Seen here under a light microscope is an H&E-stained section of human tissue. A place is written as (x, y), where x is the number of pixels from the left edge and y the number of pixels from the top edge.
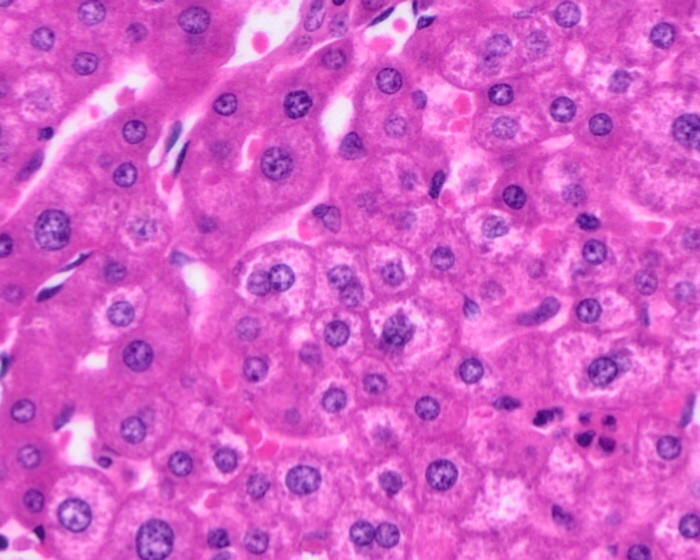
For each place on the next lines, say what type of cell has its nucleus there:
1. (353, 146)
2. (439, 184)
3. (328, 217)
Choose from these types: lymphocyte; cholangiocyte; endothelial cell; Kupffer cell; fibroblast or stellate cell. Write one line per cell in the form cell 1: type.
cell 1: endothelial cell
cell 2: fibroblast or stellate cell
cell 3: Kupffer cell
